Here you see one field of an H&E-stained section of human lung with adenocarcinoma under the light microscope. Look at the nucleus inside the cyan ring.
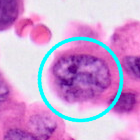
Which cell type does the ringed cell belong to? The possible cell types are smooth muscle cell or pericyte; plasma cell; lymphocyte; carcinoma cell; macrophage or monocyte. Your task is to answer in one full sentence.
The cell type represented by the ringed cell is that of a carcinoma cell.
